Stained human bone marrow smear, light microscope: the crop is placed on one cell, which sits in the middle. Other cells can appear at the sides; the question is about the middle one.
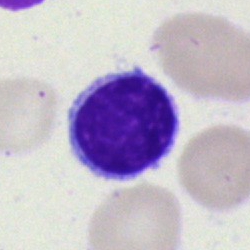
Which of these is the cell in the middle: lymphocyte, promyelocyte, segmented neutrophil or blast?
lymphocyte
